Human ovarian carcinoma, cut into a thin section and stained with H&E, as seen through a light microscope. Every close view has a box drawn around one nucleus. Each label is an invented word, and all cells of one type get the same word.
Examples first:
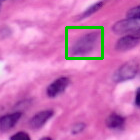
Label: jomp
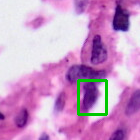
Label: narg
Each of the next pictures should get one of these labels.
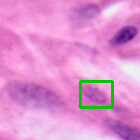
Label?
jomp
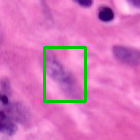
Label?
jomp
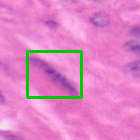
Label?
jomp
